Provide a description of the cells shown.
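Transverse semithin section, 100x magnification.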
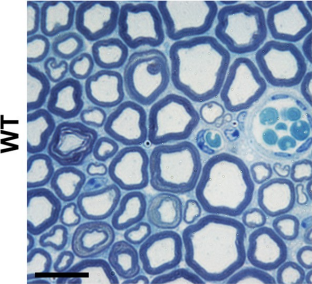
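This cross section of peripheral nerve shows closely packed myelinated axons of varied calibre. Small fibers and a few darker, irregular profiles lie between the large ones, and a cell with several blue granules sits at the upper right.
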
